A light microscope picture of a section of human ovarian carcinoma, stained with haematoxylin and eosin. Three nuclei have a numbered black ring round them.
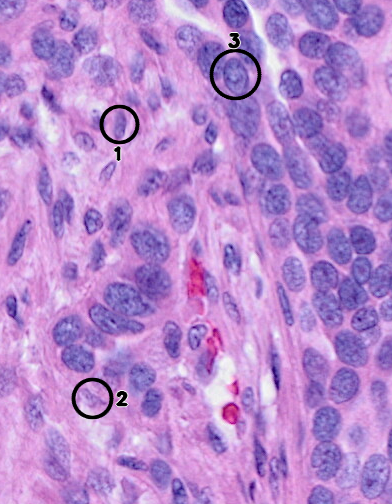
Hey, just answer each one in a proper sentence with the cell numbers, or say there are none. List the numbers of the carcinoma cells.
Just the cell marked 3 is a carcinoma cell; none of the other marked cells is.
